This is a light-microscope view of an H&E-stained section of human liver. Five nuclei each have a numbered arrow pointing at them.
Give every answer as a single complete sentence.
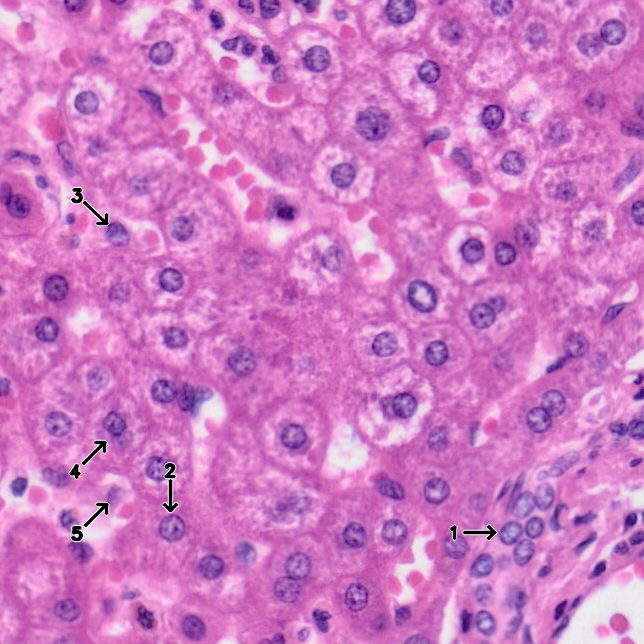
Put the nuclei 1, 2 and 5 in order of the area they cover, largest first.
From largest to smallest, the order is 2, 1, 5.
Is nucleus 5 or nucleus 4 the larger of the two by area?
It is nucleus 4, which covers about 2.5 times the area of nucleus 5.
